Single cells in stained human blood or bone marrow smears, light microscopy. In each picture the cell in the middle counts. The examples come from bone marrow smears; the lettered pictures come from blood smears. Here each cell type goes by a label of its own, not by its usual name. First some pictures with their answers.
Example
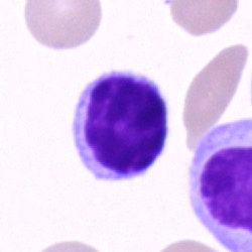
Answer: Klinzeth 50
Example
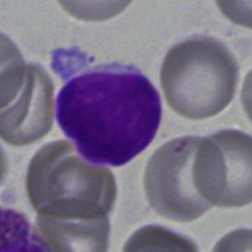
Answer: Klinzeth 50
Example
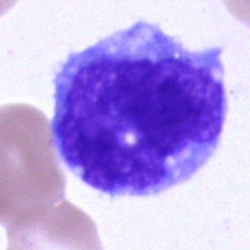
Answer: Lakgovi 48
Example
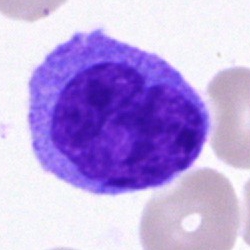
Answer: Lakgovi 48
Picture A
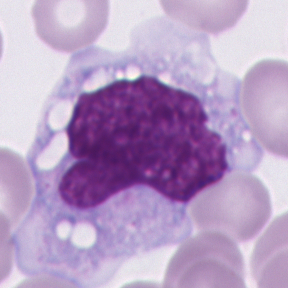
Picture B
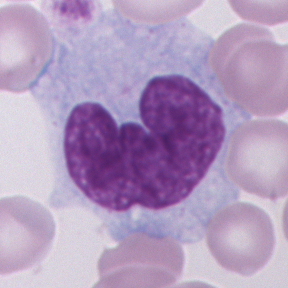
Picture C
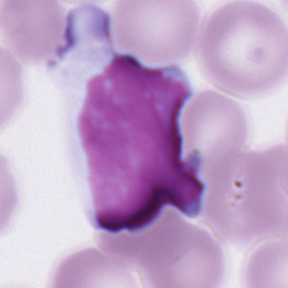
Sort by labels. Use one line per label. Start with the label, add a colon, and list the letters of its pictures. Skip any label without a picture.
Klinzeth 50: C
Lakgovi 48: A, B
